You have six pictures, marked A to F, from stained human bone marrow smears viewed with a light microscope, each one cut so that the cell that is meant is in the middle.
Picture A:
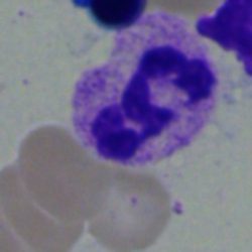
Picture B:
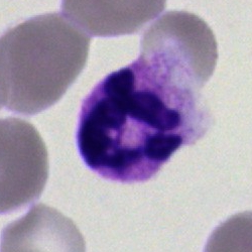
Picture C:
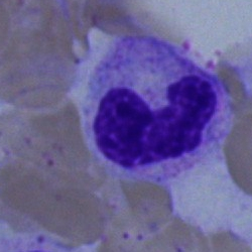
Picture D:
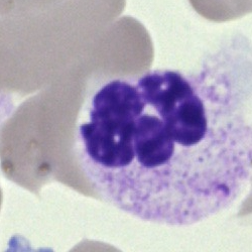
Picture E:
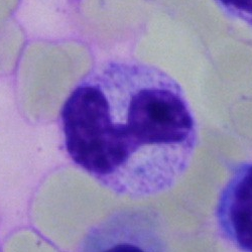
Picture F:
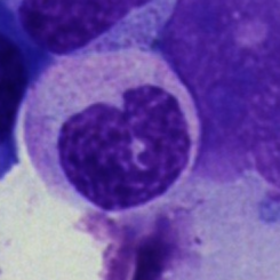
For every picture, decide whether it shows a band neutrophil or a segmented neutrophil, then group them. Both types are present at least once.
A: segmented neutrophil
B: segmented neutrophil
C: band neutrophil
D: segmented neutrophil
E: band neutrophil
F: segmented neutrophil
